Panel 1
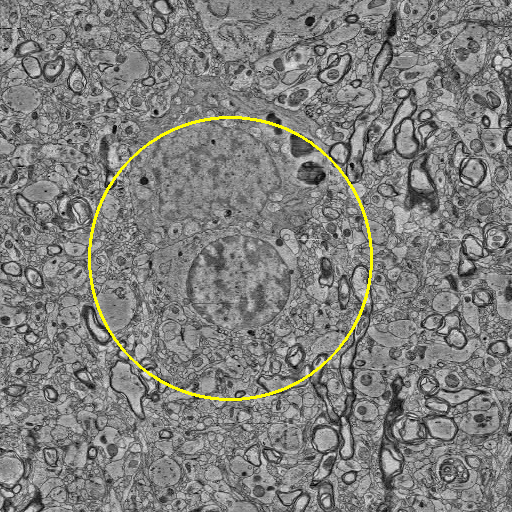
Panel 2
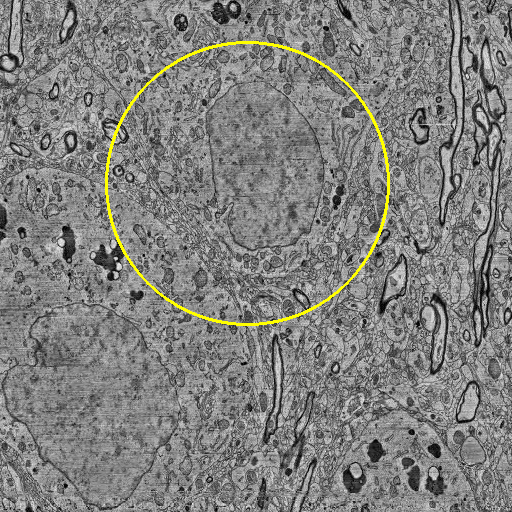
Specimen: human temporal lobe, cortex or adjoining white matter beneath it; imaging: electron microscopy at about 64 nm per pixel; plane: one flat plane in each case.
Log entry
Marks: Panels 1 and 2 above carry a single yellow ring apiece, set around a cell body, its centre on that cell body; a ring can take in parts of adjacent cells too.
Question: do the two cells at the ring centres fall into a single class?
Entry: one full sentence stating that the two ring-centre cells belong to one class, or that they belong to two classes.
The two ring-centre cells in Panels 1 and 2 belong to two classes.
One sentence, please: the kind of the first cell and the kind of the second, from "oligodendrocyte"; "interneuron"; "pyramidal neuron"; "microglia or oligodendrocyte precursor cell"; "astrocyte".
The ring in the first picture surrounds an oligodendrocyte, and the ring in the second surrounds an interneuron.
